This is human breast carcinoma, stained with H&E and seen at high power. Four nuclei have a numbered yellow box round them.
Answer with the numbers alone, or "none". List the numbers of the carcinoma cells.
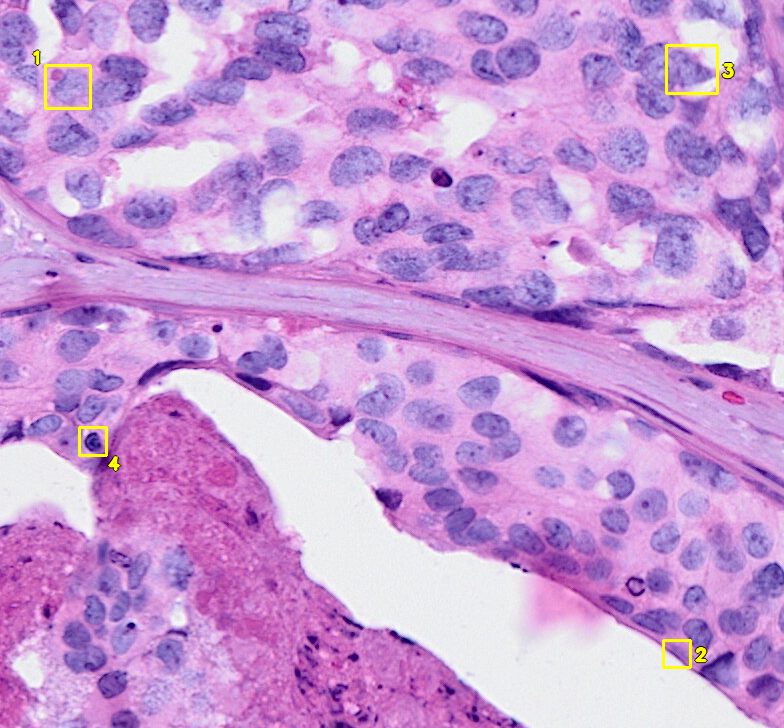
1, 2, 3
